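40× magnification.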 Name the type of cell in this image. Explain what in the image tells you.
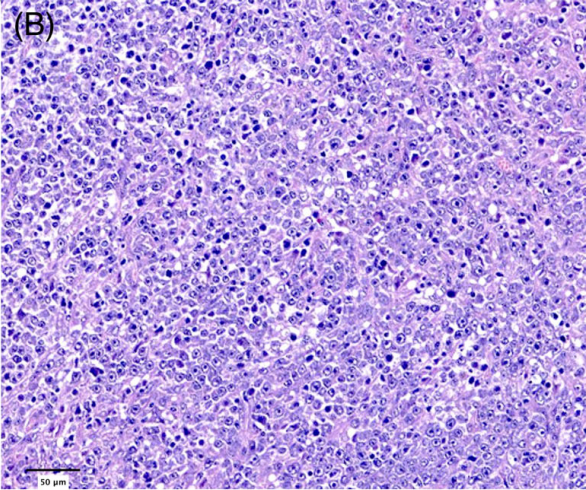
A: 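Large lymphocytes. Dense sheet of round, discrete cells with no cohesive architecture. Nuclei are large, round to irregular, many with visible nucleoli.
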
